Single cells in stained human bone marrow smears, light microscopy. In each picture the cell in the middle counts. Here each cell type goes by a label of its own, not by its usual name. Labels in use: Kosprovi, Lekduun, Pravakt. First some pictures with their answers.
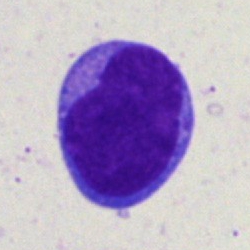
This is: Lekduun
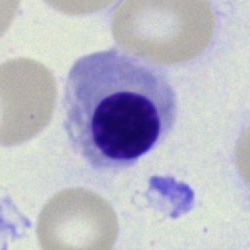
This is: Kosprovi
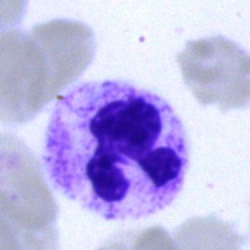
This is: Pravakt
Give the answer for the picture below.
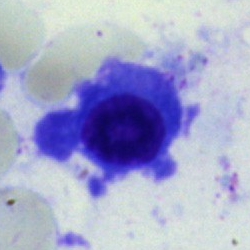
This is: Kosprovi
